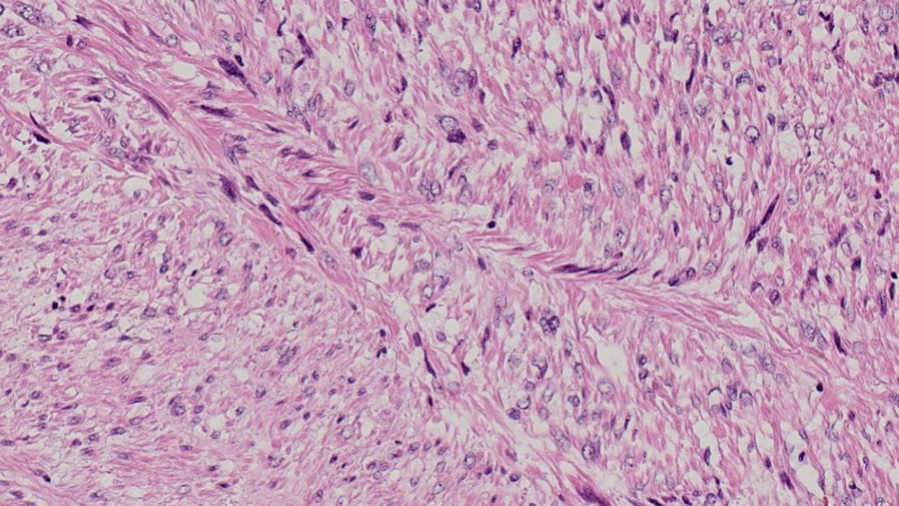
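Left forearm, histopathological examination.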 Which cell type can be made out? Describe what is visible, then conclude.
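Spindle-shaped cells. Elongated cells with tapering ends fill the field. Cytoplasm is pink and fibrillary.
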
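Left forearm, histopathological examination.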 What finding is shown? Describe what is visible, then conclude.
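Nuclei vary in size and shape. Some nuclei are dark and elongated, others rounded and vesicular. Scattered nuclei are enlarged and irregular. On this evidence: cellular atypia.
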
